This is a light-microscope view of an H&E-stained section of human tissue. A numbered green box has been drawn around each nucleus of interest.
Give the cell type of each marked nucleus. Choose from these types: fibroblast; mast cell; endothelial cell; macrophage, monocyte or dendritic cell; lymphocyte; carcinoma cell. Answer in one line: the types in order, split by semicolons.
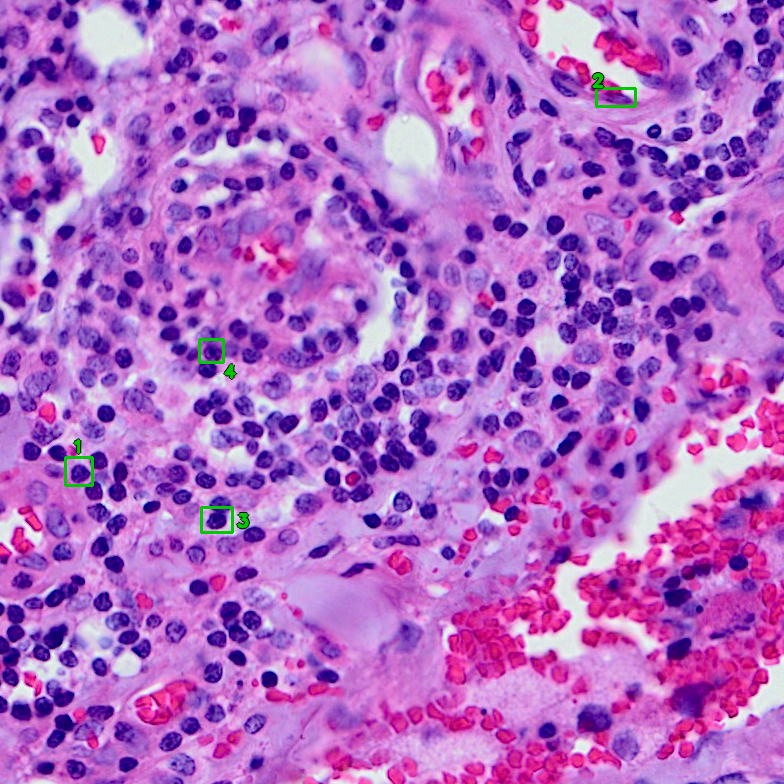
lymphocyte; endothelial cell; lymphocyte; lymphocyte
